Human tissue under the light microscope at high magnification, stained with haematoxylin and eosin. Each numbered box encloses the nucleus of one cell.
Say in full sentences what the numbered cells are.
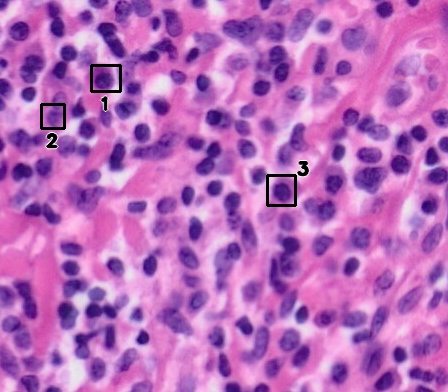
Cell 1 is a plasma cell, cell 2 is an endothelial cell and cell 3 is a plasma cell.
